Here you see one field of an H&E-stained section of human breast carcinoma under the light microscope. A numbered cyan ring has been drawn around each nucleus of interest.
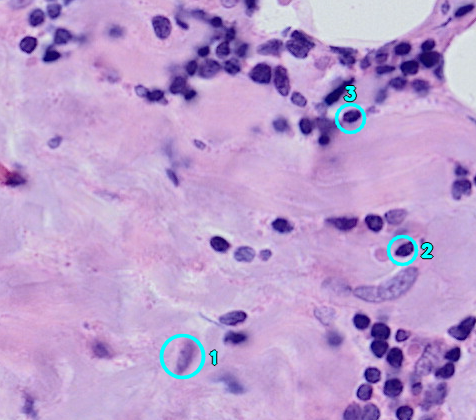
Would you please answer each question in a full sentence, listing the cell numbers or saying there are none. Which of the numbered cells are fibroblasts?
Cell 1 is a fibroblast, and that holds for no other numbered cell.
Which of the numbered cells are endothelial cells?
Found among the numbered cells are no endothelial cells.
